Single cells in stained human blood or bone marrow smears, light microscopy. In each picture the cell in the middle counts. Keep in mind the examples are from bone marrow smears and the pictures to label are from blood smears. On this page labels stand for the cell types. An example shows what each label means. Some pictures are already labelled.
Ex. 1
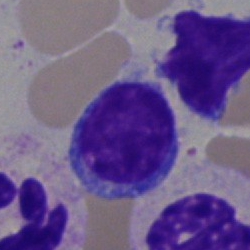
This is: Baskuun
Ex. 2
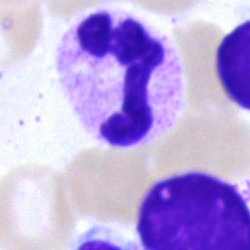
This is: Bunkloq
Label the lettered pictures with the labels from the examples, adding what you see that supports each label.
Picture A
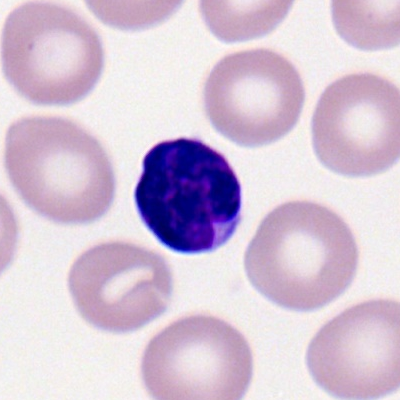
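Baskuun. Evidence: The nucleus fills almost the whole cell.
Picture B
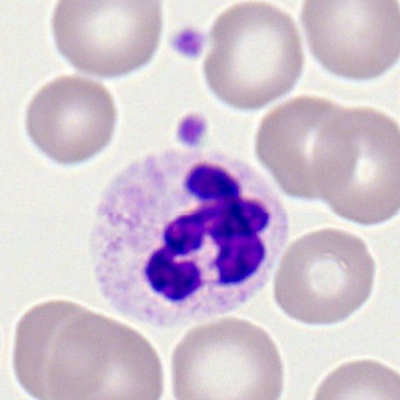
Bunkloq. Evidence: The cytoplasm is plentiful and pale pinkish-lilac.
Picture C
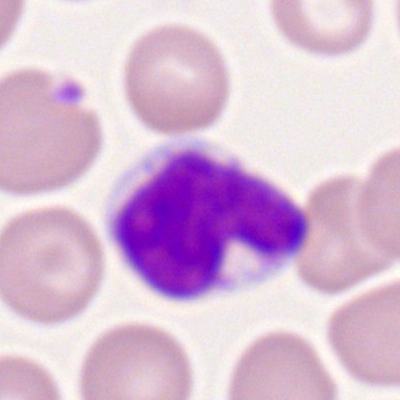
Baskuun. Evidence: The nucleus fills most of the cell and has an irregular, folded shape.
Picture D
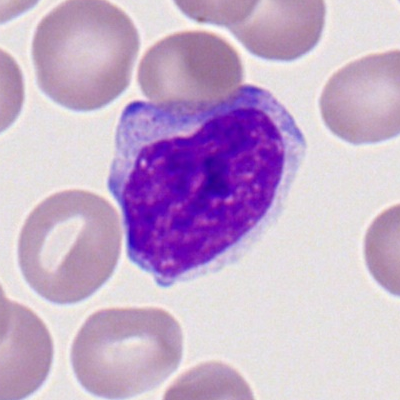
Baskuun. Evidence: The nucleus is a single unlobed mass that fills most of the cell.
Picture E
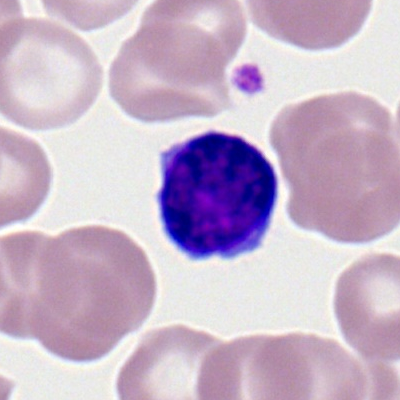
Baskuun. Evidence: The cytoplasm is only a very thin rim at the edge of the cell.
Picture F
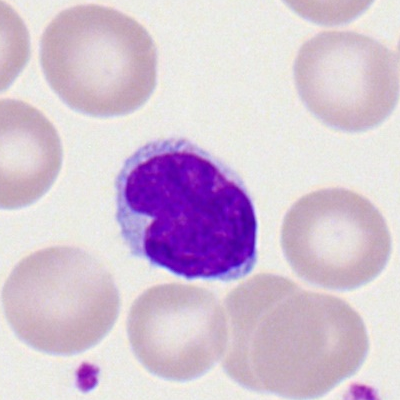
Baskuun. Evidence: The nucleus fills most of the cell.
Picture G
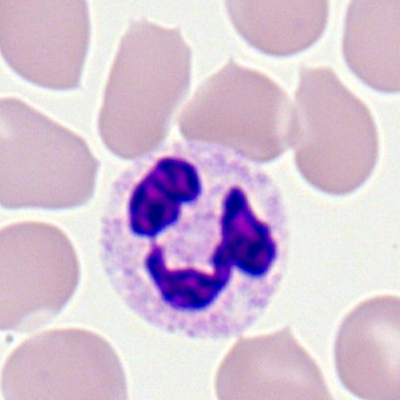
Bunkloq. Evidence: The nucleus is divided into several separate dense lobes.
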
